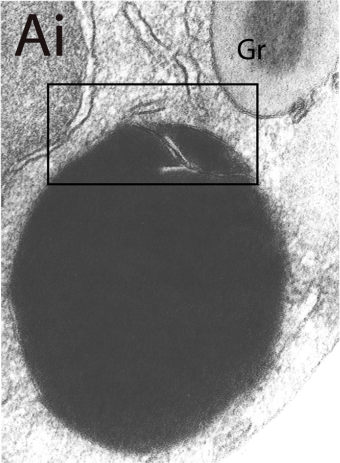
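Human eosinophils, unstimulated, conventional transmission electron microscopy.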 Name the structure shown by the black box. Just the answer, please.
a membranous structure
